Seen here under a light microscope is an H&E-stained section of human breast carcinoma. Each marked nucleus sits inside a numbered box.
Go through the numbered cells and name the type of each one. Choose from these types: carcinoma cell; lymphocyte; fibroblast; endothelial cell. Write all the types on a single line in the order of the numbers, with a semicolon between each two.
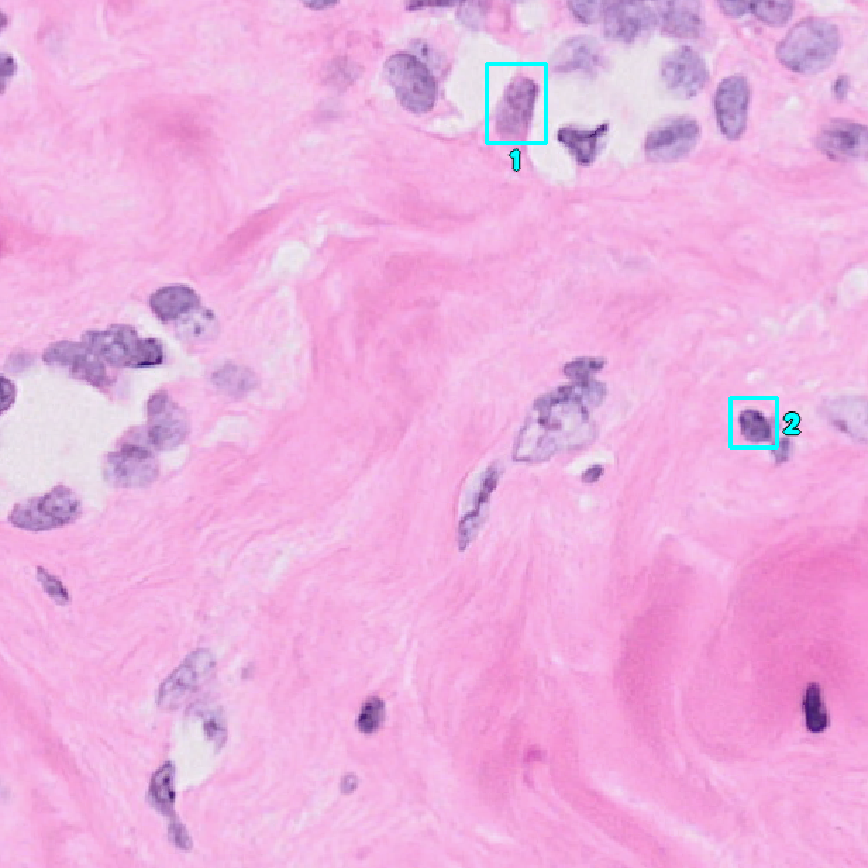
carcinoma cell; lymphocyte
